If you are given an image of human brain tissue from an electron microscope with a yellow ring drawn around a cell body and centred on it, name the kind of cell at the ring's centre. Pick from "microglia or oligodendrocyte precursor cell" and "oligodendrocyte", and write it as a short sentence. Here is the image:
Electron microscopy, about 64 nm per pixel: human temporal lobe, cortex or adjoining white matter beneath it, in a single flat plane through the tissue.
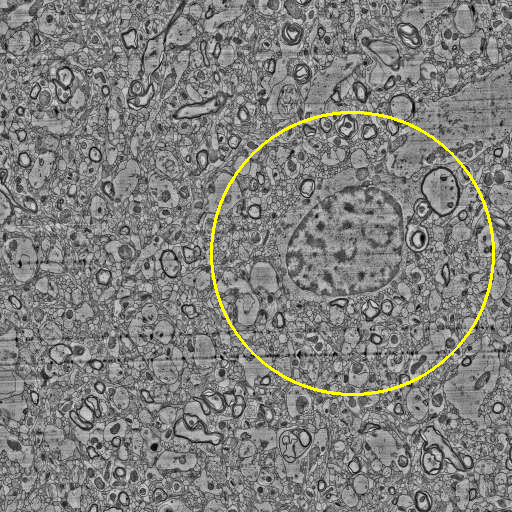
The cell at the ring's centre is an oligodendrocyte.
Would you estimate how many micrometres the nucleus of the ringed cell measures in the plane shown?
In this plane the nucleus spans approximately 8 by 7 micrometers.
